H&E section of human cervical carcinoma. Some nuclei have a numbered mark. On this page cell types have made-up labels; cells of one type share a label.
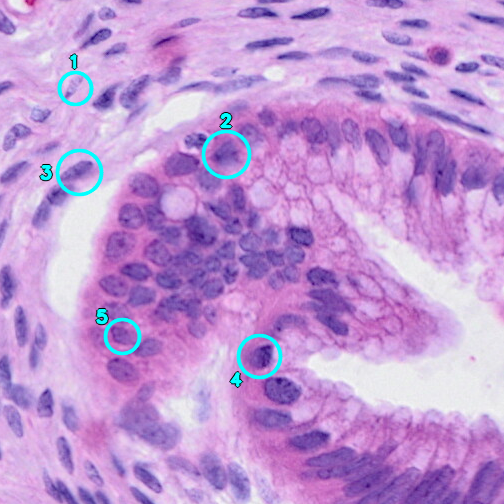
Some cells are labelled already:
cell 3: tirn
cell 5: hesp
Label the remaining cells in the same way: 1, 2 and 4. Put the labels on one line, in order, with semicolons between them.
tirn; hesp; hesp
